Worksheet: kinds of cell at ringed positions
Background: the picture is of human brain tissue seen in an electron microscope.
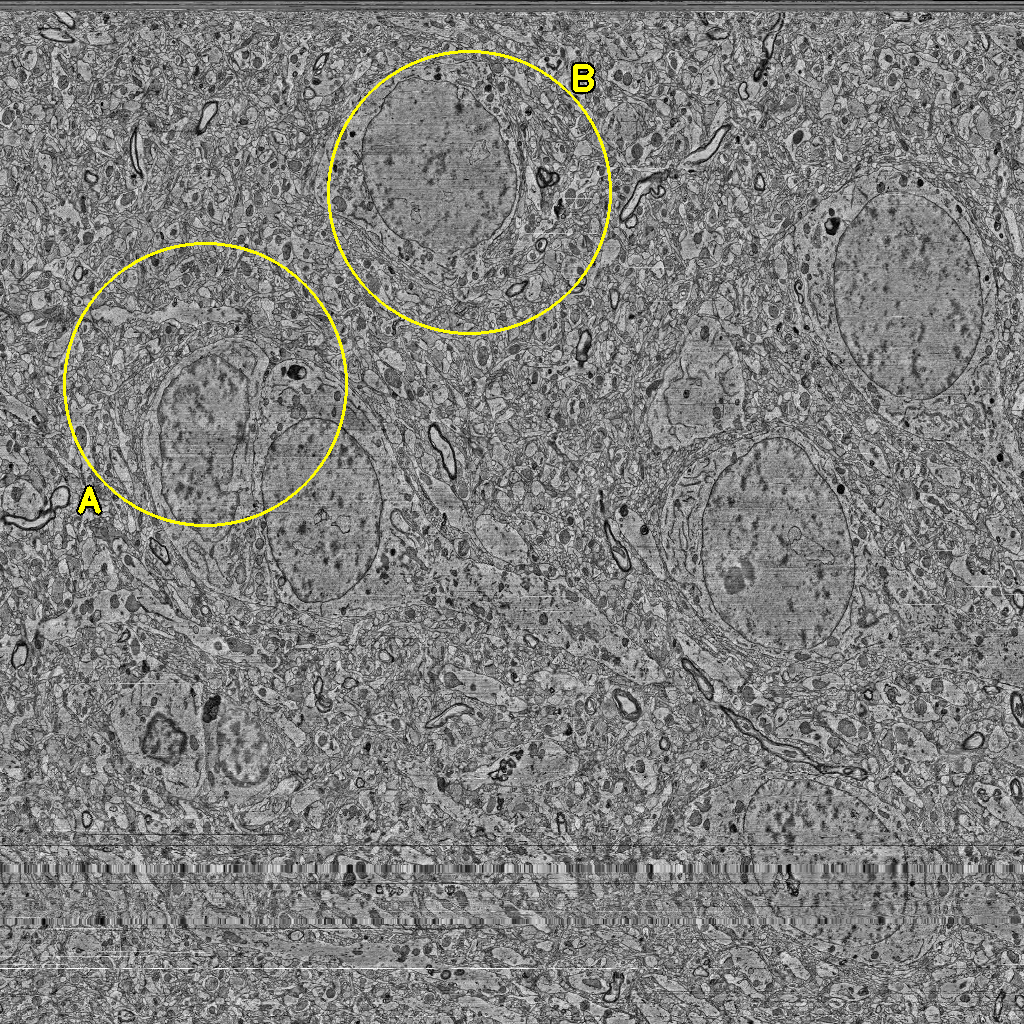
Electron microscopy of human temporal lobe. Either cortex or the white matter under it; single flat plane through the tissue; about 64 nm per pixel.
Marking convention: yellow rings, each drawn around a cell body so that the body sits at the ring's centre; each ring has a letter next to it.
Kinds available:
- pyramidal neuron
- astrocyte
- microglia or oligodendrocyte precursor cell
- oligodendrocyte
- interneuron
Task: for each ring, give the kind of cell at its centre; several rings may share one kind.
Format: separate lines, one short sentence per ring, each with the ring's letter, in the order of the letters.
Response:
Ring A is drawn around an interneuron.
Ring B is drawn around a pyramidal neuron.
